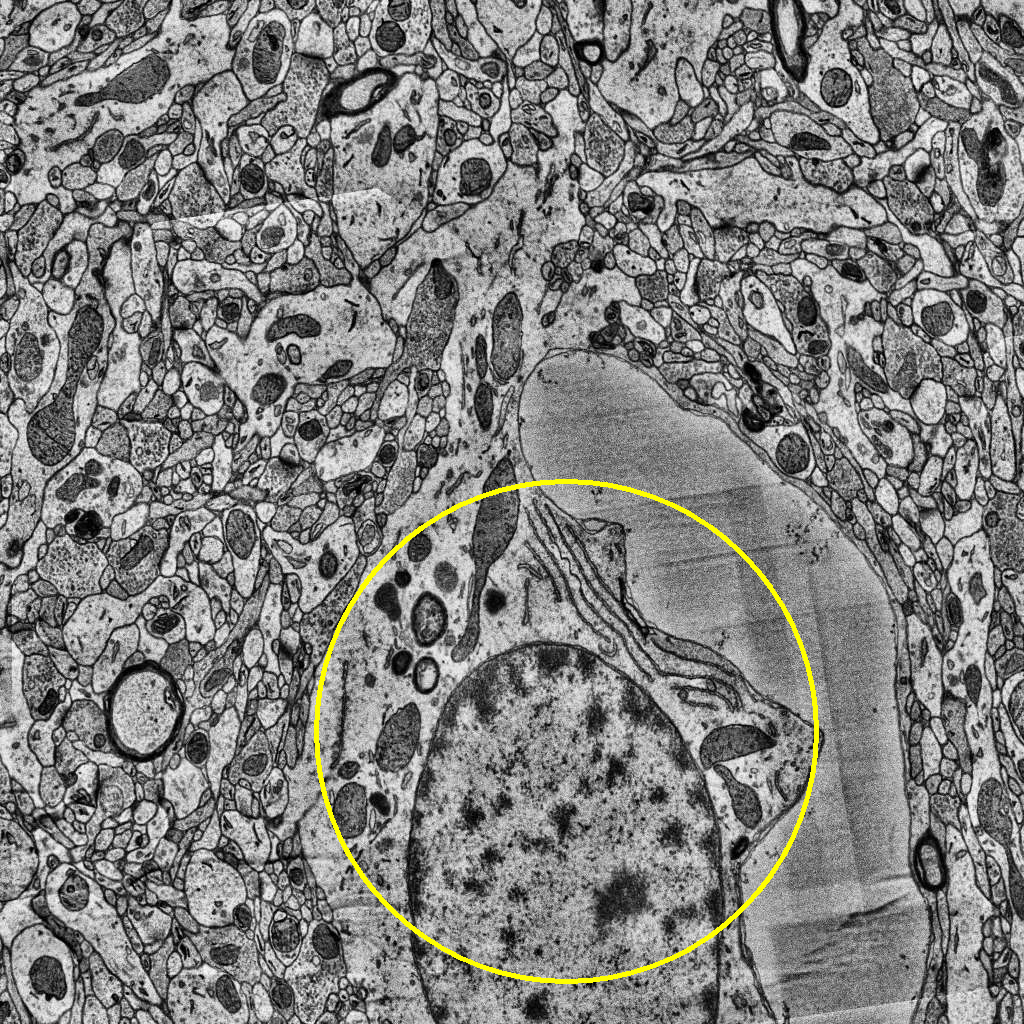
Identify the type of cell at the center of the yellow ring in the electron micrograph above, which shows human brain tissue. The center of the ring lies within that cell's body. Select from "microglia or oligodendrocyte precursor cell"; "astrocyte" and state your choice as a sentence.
The center of the yellow ring lies in the body of an astrocyte.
